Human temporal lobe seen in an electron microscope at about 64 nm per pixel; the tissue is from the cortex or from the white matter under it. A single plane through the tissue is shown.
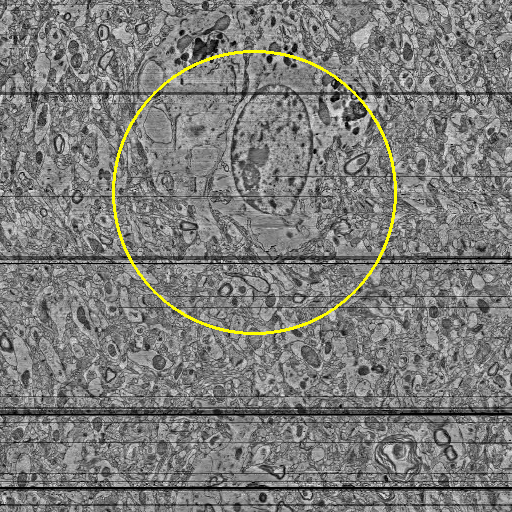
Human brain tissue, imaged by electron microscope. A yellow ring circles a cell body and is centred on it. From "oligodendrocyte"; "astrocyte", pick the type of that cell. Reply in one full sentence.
The cell body at the centre of the yellow ring belongs to an astrocyte.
